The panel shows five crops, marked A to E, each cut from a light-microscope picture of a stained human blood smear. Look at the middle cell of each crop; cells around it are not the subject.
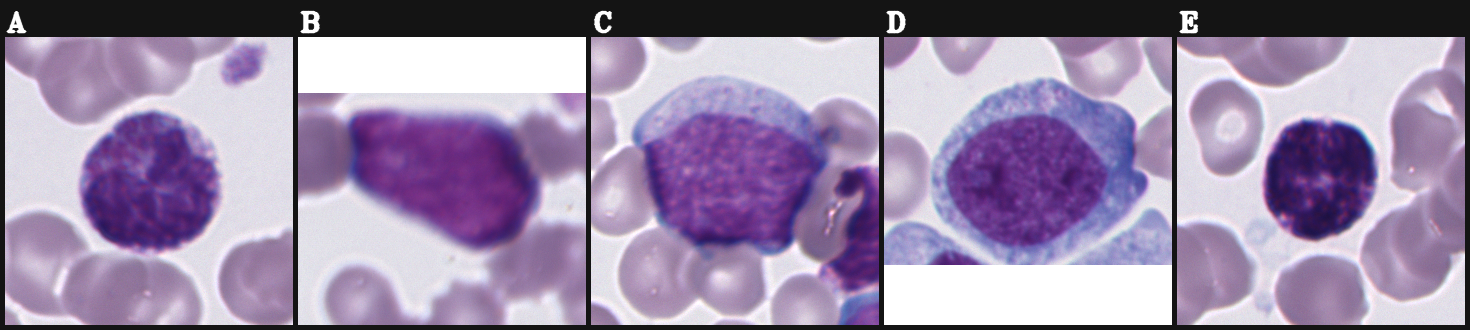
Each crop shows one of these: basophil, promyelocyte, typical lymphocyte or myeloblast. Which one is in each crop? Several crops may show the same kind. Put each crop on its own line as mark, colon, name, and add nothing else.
A: basophil
B: myeloblast
C: promyelocyte
D: promyelocyte
E: basophil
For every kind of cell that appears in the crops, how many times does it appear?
basophil: 2
promyelocyte: 2
myeloblast: 1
